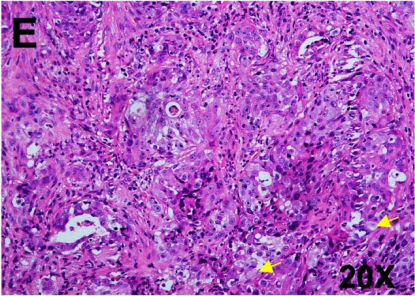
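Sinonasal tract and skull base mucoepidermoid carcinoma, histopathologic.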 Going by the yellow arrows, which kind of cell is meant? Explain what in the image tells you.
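Arrows point to cells with pale, clear cytoplasm among darker squamoid cells.
Answer: clear mucinous cells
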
